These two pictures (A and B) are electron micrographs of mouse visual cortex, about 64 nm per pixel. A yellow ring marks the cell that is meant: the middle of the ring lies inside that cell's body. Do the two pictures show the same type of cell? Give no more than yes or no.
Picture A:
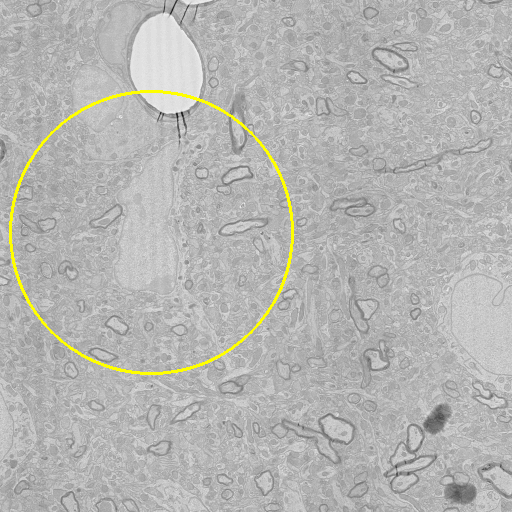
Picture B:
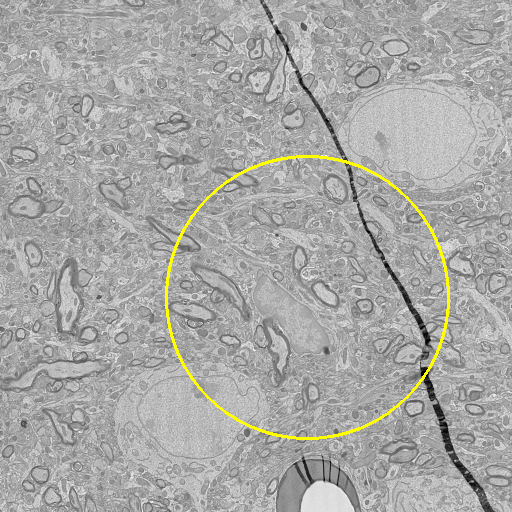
no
